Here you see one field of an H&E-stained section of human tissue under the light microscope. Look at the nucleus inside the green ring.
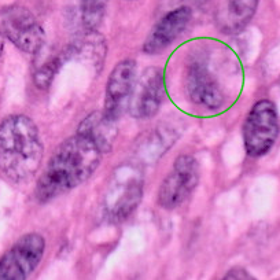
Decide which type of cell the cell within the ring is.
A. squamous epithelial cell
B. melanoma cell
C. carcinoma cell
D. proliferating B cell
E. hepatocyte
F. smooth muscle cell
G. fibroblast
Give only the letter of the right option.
B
